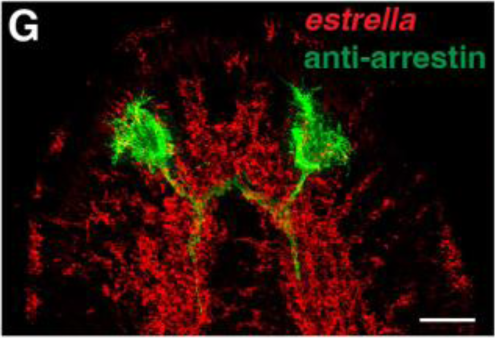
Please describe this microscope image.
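A dense red meshwork fills much of the head, forming two broad lobes with branching strands running backward. At the front sit two compact bright green clusters, from which green tracts run toward the midline, cross, and continue back through the red tissue.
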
